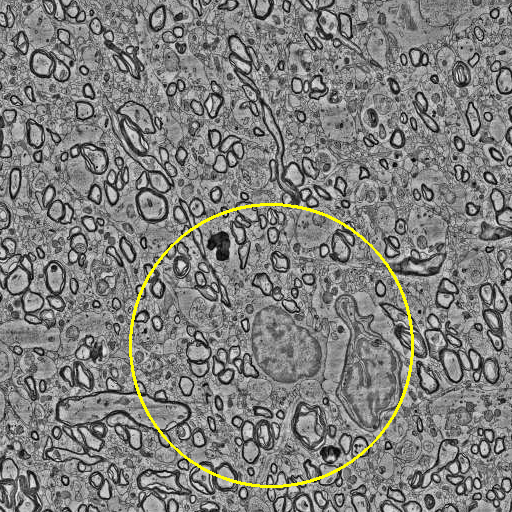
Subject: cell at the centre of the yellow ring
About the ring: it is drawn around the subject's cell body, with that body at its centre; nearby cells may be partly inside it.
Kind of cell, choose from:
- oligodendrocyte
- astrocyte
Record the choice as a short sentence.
The subject cell is an oligodendrocyte.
